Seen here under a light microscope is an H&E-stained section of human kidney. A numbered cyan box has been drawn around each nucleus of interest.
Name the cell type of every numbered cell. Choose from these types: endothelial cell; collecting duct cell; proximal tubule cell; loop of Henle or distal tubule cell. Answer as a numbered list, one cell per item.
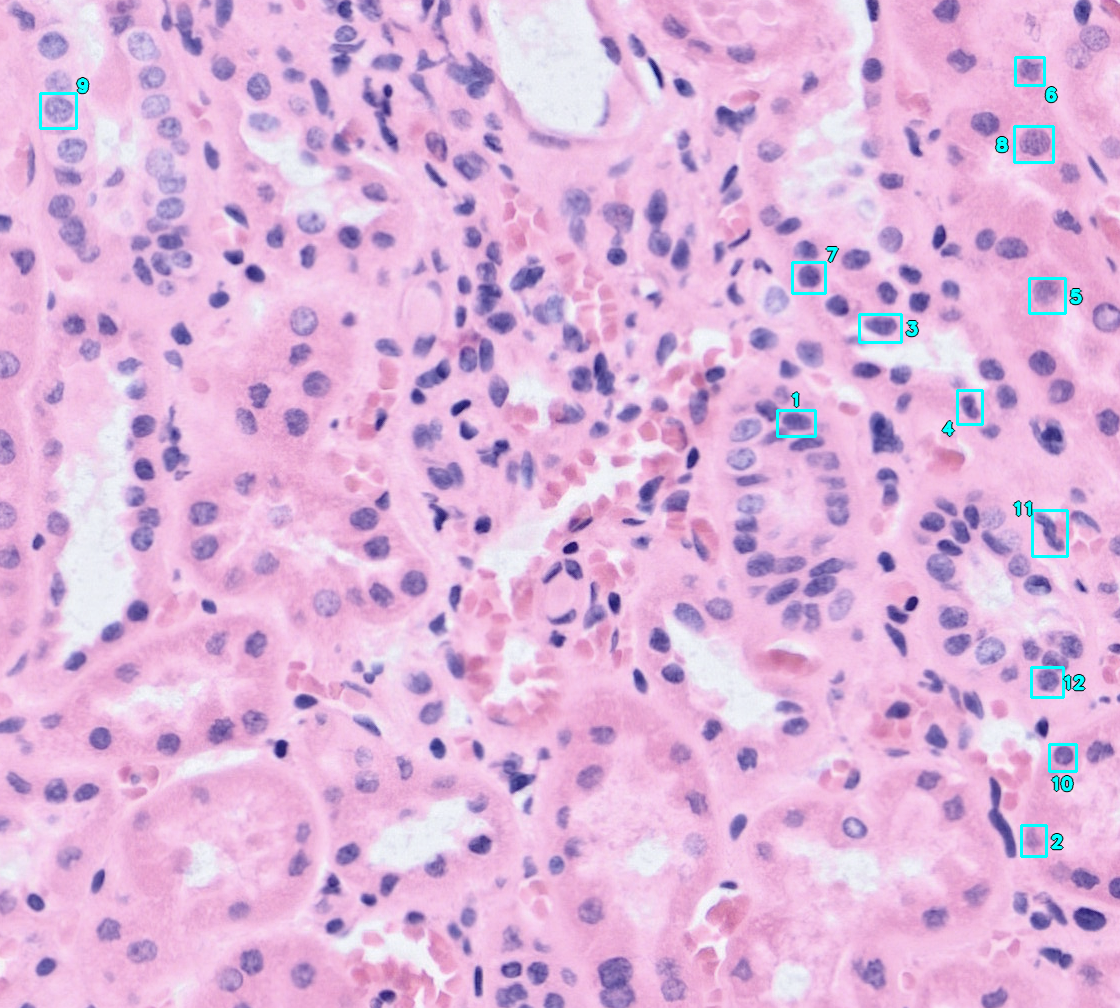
1. collecting duct cell
2. proximal tubule cell
3. loop of Henle or distal tubule cell
4. loop of Henle or distal tubule cell
5. proximal tubule cell
6. proximal tubule cell
7. loop of Henle or distal tubule cell
8. proximal tubule cell
9. collecting duct cell
10. proximal tubule cell
11. endothelial cell
12. collecting duct cell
